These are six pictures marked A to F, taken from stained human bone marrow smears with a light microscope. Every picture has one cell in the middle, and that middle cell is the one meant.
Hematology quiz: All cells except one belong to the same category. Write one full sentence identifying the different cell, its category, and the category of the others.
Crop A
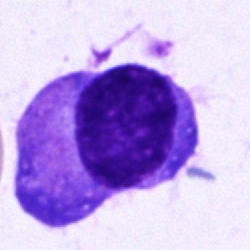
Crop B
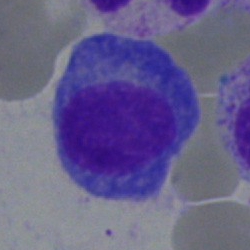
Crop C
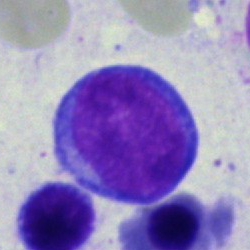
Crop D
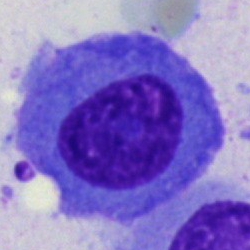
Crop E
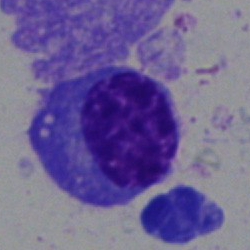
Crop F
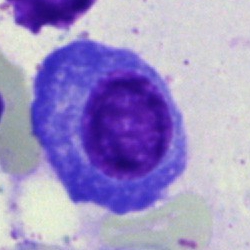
Crop C is the odd one out, being a proerythroblast, while all the other crops show plasma cells.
